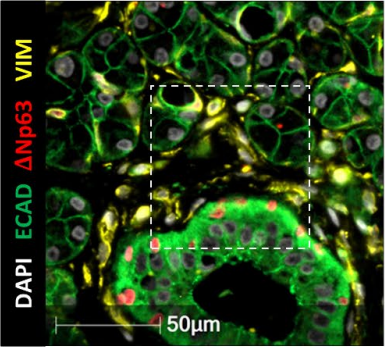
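A rounded duct-like structure at the bottom is lined by epithelial cells whose membranes and cytoplasm glow green, with a central lumen. Above, many polygonal epithelial cells are outlined by thin green membranes, and between these groups run yellow elongated cells with thin processes. The yellow cells hug the outside of the epithelial groups, as cells lying at the periphery of glandular units do.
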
